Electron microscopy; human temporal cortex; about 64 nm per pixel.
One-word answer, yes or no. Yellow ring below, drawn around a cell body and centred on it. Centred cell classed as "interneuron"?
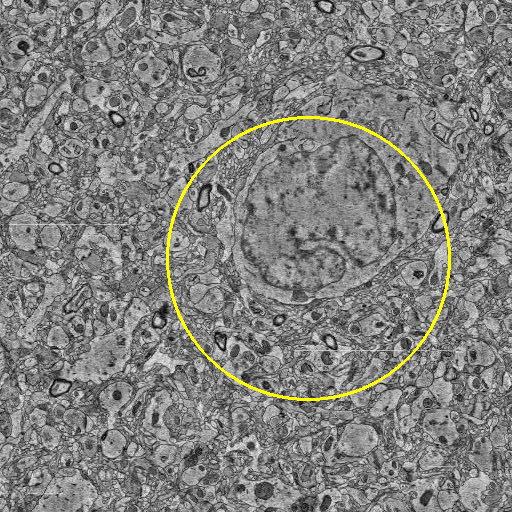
yes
